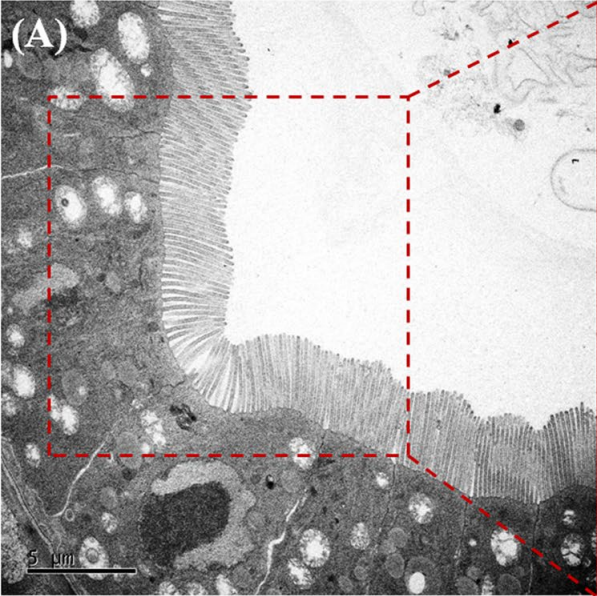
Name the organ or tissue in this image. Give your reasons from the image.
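Gut wall. An epithelial cell layer borders a wide empty lumen. The luminal surface carries a continuous brush border. The cells contain a large nucleus, mitochondria and vesicles.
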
